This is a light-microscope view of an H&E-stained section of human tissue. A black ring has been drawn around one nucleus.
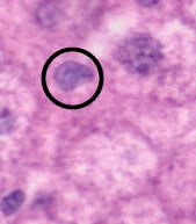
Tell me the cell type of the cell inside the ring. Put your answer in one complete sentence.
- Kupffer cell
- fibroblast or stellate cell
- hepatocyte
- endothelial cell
Considered by cell type, the cell inside the ring is an endothelial cell.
